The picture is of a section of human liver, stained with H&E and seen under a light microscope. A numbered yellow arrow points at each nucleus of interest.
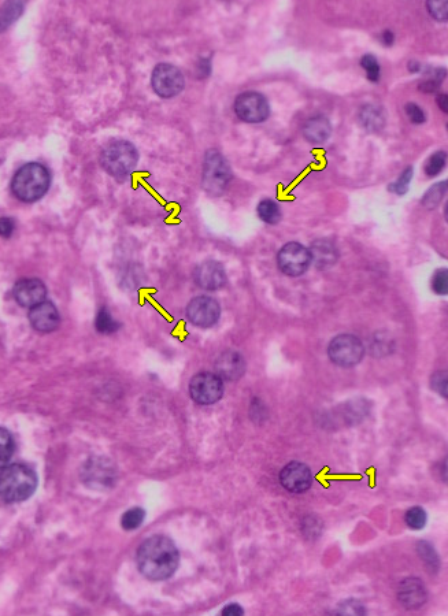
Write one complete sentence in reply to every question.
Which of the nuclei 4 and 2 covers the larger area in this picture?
Nucleus 2 is the larger one, covering about 1.5 times the area of nucleus 4.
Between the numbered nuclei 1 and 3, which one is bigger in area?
Of the two, number 1 is bigger and takes up about 1.5 times the area of number 3.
